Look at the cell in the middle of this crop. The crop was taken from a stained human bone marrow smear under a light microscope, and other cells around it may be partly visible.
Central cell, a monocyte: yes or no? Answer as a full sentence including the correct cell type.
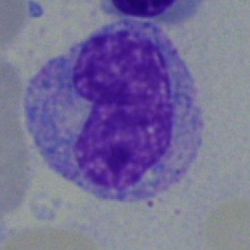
Yes, the cell in the exact middle is a monocyte.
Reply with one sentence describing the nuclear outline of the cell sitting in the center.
The cell carries one compact nucleus shaped round, oval or like a kidney.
